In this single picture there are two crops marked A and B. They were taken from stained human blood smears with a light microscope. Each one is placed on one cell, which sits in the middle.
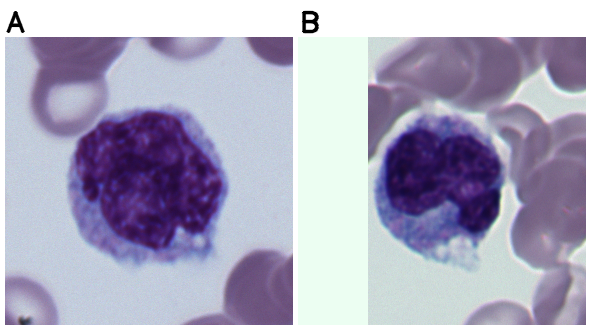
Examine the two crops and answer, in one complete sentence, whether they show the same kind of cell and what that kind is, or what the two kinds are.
Yes, monocytes are shown in both crops.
